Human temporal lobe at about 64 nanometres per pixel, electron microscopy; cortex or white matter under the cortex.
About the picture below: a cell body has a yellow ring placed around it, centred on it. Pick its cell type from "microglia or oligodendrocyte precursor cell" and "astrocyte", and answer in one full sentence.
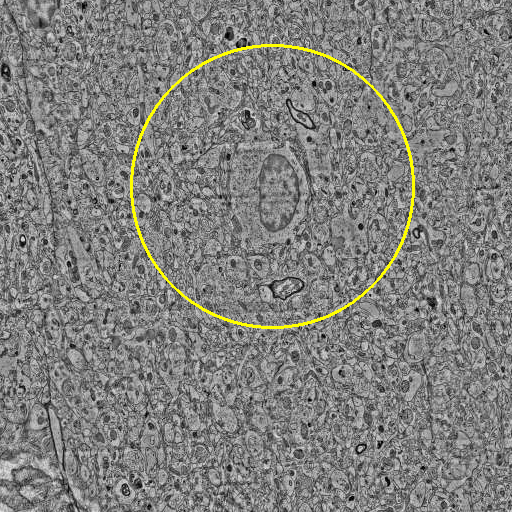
In the picture, an astrocyte is the cell sitting at the centre of the yellow ring.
